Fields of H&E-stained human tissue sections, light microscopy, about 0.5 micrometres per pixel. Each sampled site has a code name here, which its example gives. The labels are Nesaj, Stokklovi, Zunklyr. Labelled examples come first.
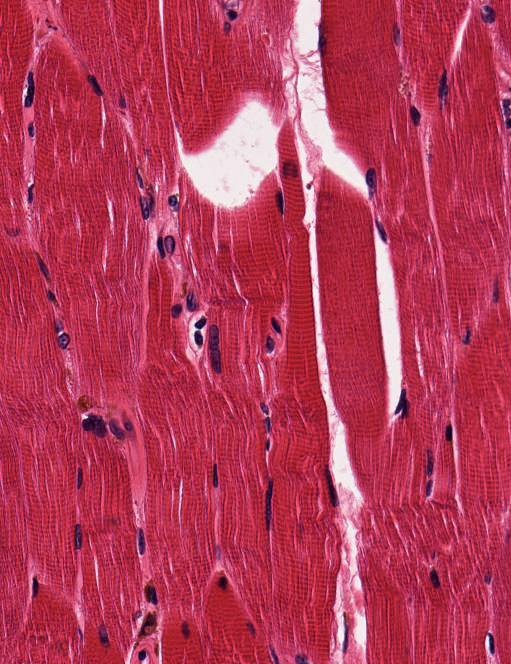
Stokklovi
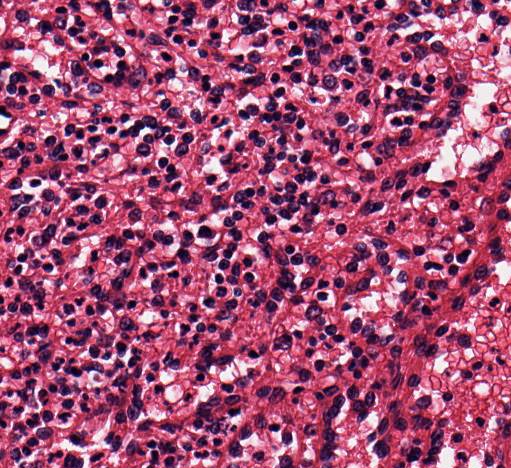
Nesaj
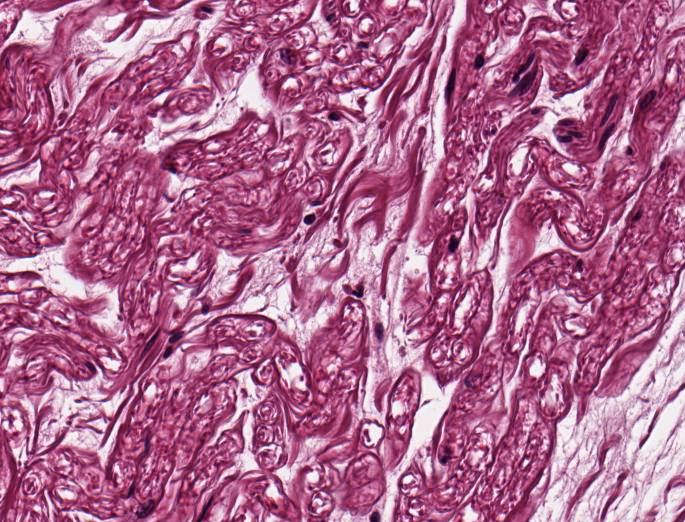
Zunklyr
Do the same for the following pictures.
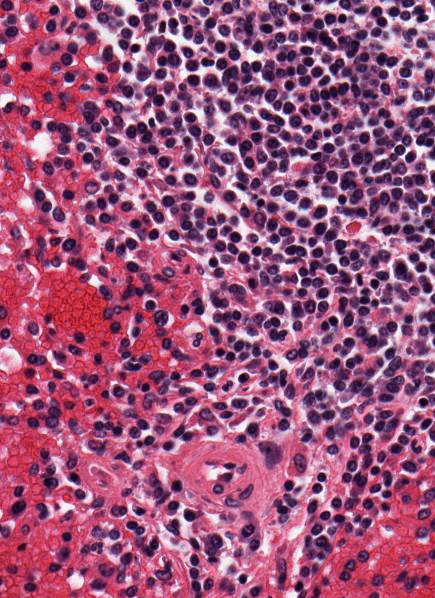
Nesaj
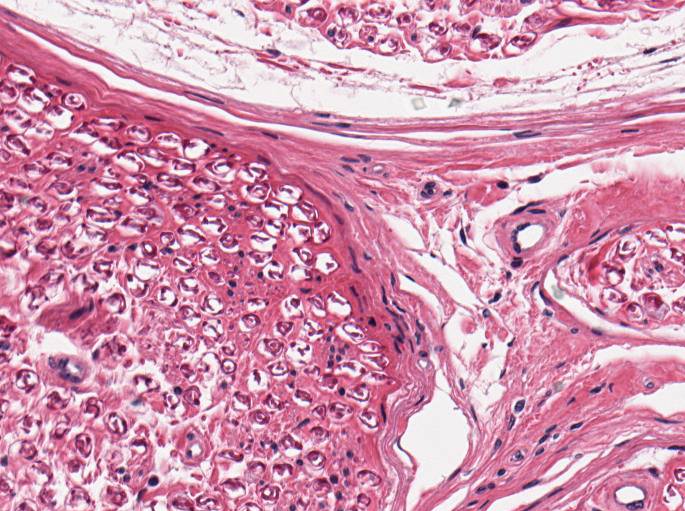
Zunklyr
